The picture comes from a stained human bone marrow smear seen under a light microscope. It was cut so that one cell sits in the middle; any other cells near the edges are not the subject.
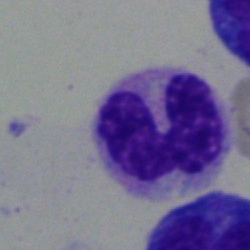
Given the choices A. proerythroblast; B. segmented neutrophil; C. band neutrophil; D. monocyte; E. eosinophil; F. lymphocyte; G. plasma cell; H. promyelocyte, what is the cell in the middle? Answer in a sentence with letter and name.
Option C gets it right: the cell in the middle is a band neutrophil.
